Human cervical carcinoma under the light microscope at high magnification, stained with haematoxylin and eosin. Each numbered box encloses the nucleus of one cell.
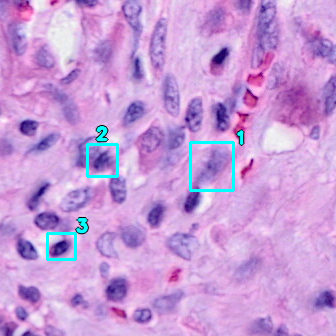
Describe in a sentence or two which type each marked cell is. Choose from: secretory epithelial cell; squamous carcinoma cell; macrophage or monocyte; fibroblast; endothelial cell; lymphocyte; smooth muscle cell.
Cell 1 is an endothelial cell. Cells 2 and 3 are lymphocytes.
